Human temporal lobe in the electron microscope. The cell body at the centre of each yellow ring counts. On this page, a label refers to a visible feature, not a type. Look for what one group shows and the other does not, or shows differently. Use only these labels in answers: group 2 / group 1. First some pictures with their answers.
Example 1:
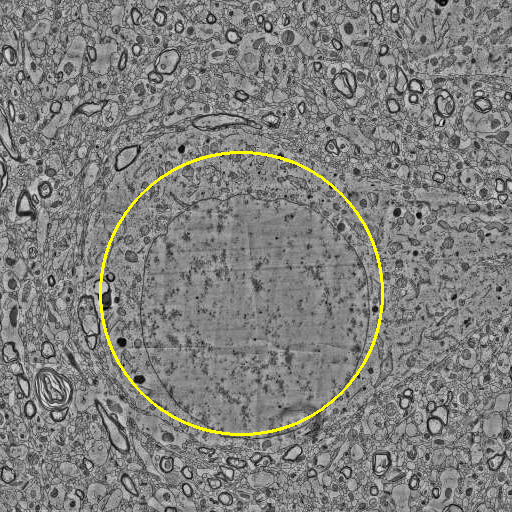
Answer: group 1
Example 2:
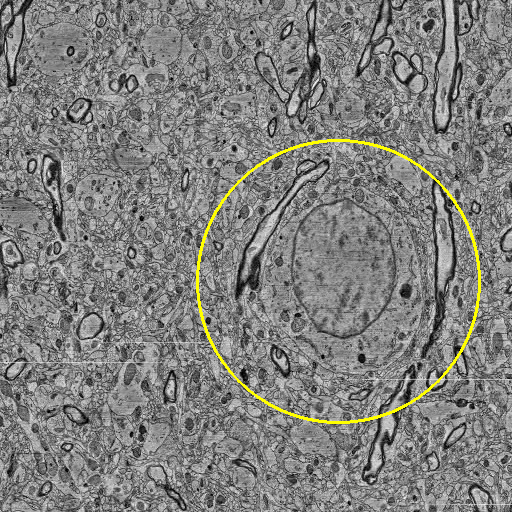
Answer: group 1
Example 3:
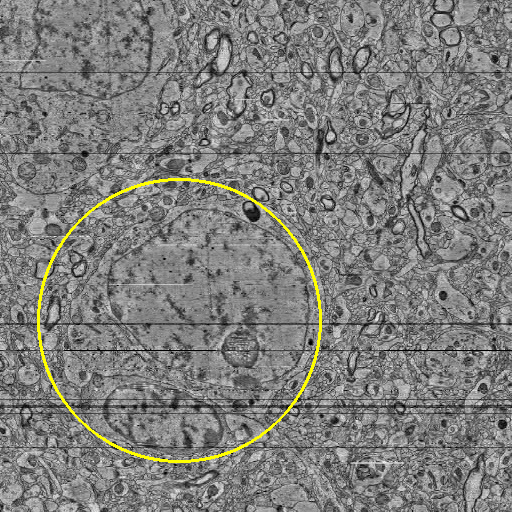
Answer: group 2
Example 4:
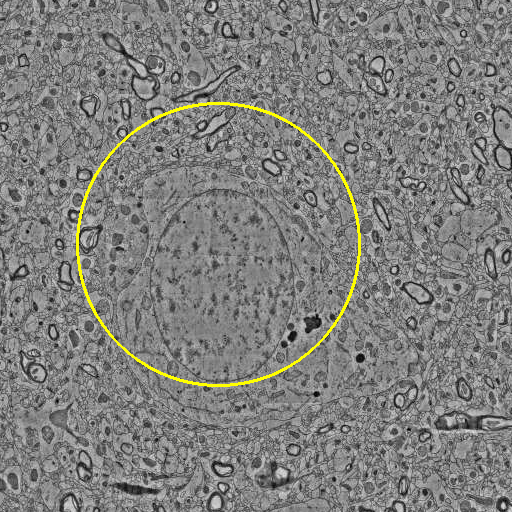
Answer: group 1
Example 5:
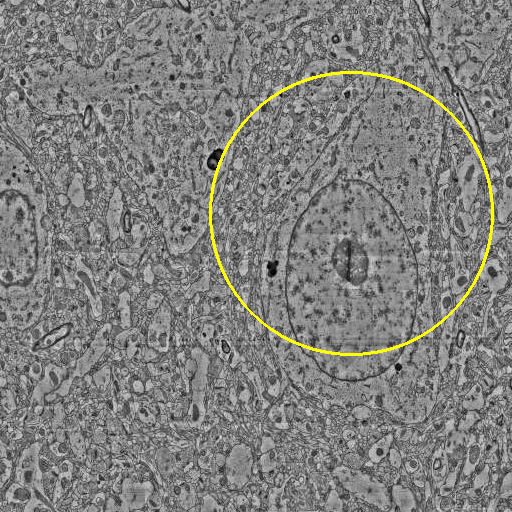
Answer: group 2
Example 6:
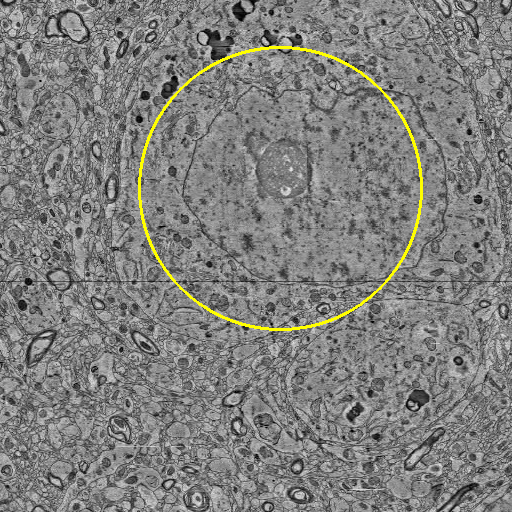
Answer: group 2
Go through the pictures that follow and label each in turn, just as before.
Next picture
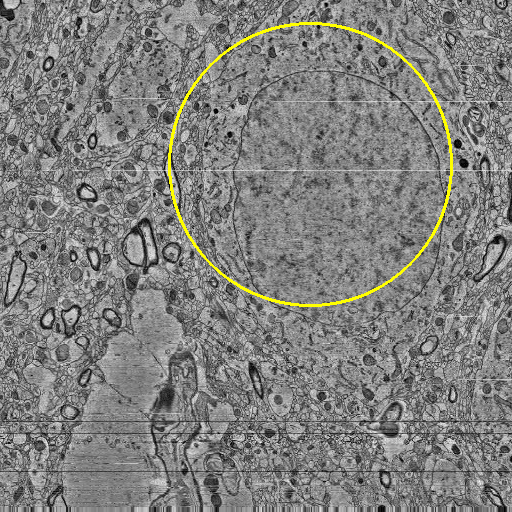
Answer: group 1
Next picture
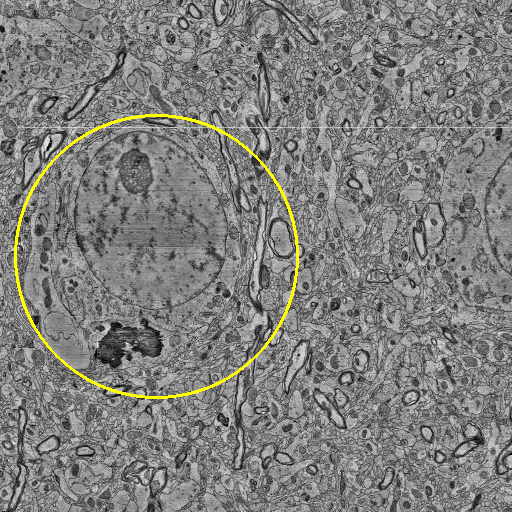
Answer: group 2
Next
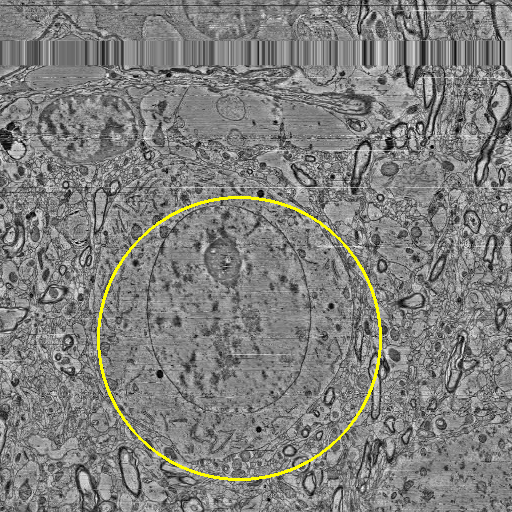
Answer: group 2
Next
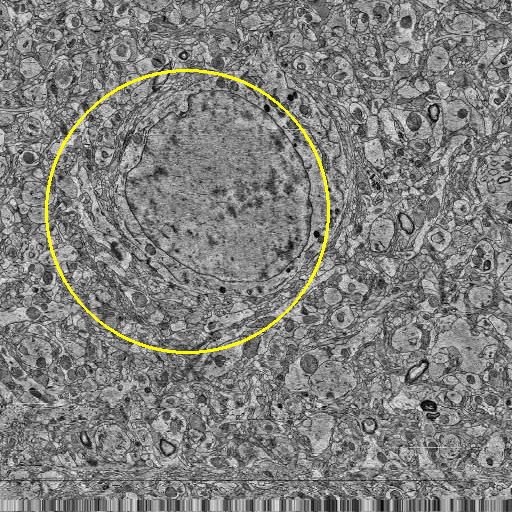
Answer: group 1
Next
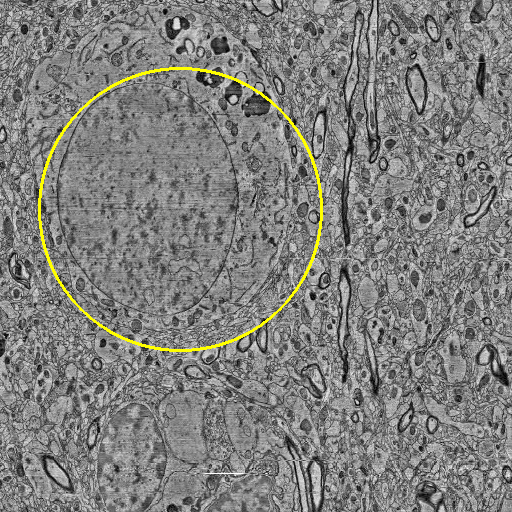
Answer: group 1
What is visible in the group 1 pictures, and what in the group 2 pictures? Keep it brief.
group 1: no nucleolus seen; group 2: nucleolus seen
